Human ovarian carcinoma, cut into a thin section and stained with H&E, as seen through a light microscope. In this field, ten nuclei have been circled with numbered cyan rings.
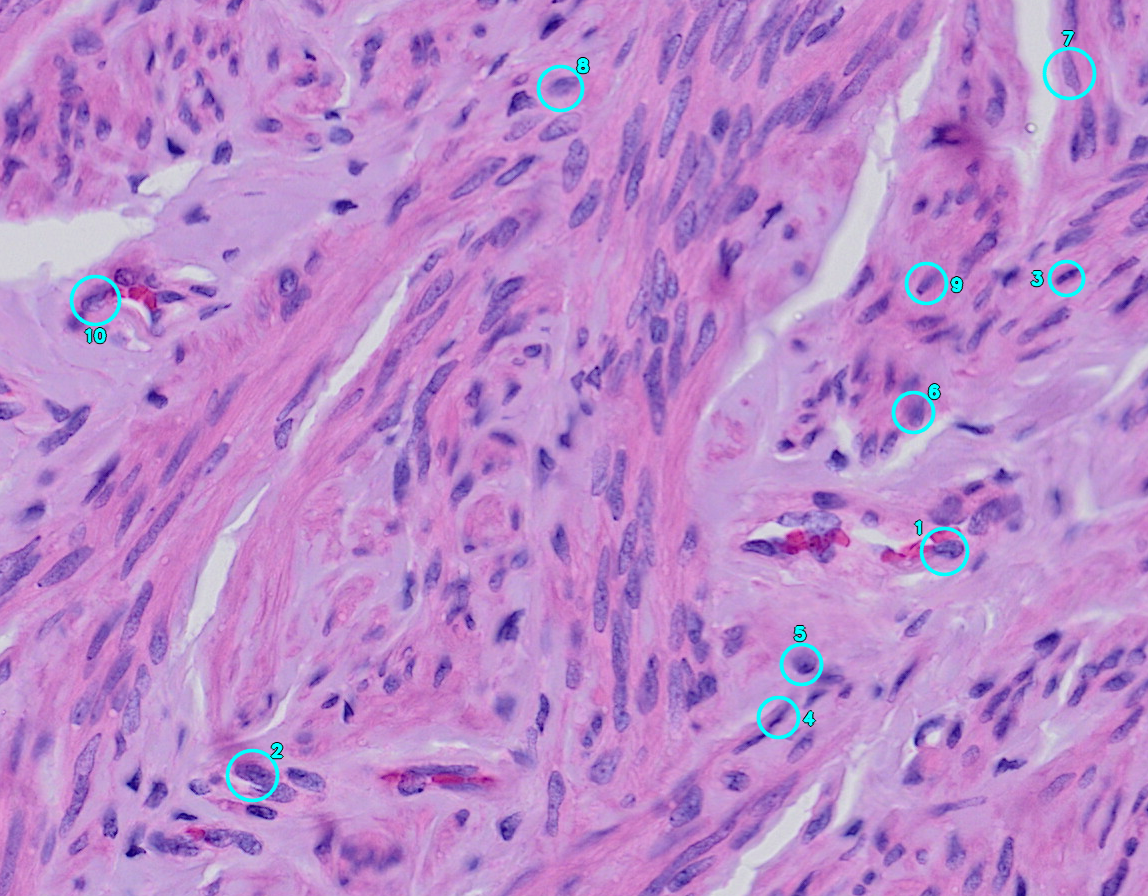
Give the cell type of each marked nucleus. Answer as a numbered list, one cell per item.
1. endothelial cell
2. endothelial cell
3. smooth muscle cell
4. smooth muscle cell
5. fibroblast
6. smooth muscle cell
7. smooth muscle cell
8. smooth muscle cell
9. smooth muscle cell
10. endothelial cell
